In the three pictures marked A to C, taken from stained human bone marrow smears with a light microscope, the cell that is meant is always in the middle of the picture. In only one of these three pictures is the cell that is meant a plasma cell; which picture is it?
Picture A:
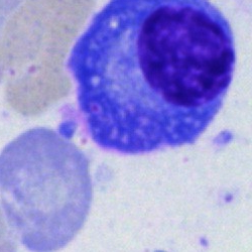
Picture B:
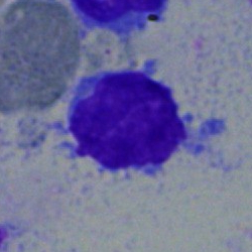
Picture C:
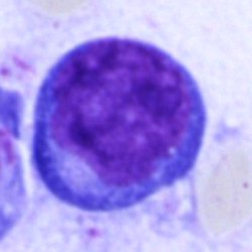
A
